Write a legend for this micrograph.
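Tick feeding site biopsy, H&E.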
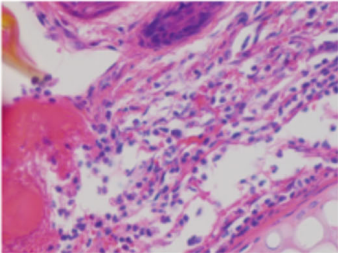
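Homogeneous bright pink acellular material fills the lower left, with a yellowish-brown mouthpart edge at upper left. The adjacent dermis is loose pink fibrous tissue heavily populated by small cells with dark round or lobed nuclei, scattered singly and in clusters between collagen strands. A deeply purple elongated structure lies at top centre. Toward the right, the tissue is more open with clear spaces, and red blood cells are scattered among the infiltrating cells.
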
